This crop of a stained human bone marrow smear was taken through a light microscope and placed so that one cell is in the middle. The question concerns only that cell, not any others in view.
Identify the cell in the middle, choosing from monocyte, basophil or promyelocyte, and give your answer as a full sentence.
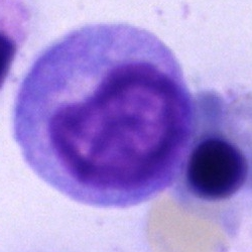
The crop shows a promyelocyte in its centre.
